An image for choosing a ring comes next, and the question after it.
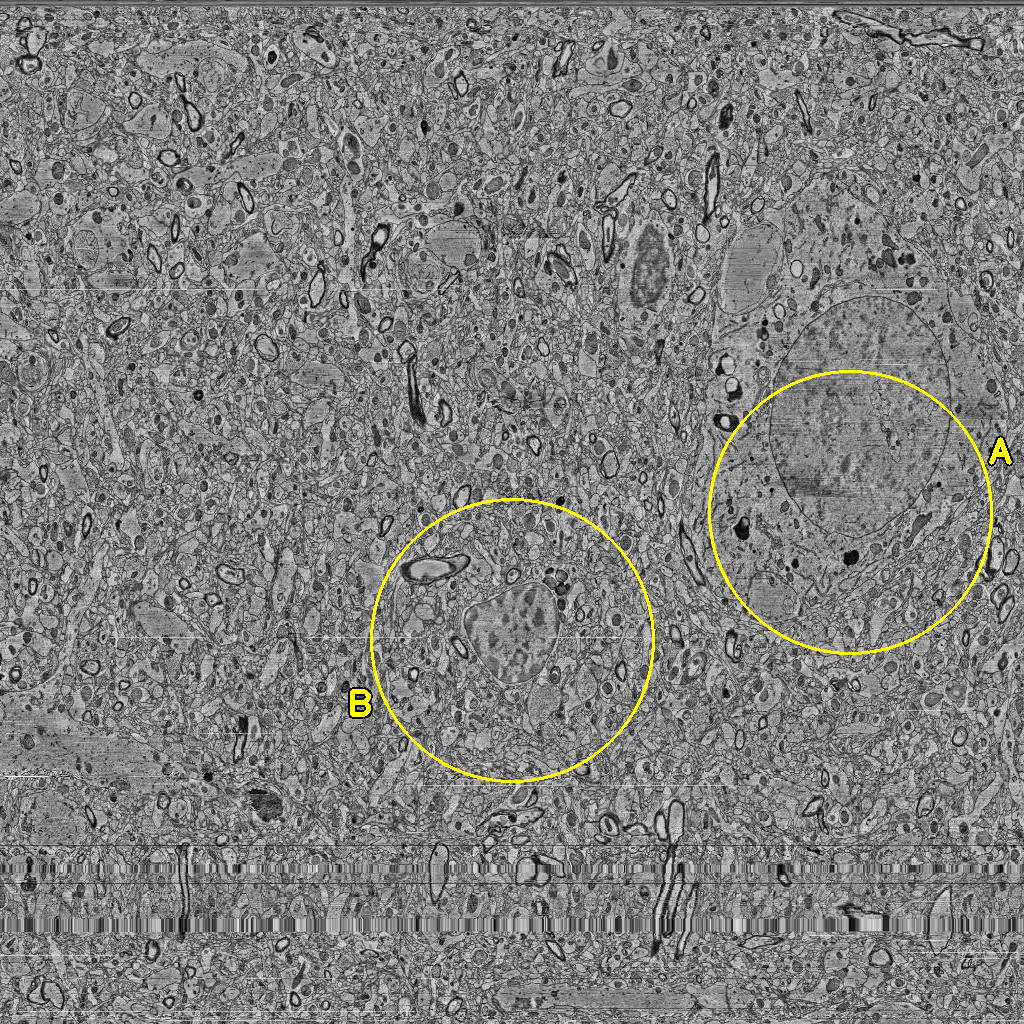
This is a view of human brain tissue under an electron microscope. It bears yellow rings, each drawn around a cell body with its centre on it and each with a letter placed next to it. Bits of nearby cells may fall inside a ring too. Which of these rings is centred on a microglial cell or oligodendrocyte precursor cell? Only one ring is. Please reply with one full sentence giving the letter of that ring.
Of all the lettered rings, B is the one centred on a cell of that kind.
